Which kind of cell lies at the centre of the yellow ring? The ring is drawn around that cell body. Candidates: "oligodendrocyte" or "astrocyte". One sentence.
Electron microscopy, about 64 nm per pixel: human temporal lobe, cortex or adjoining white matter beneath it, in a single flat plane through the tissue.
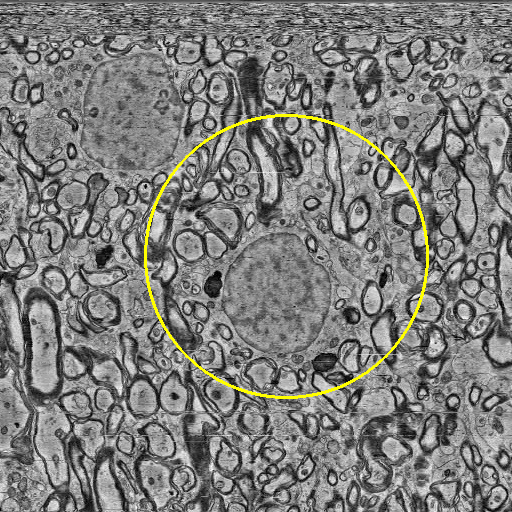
Lying at the centre of the ring is an oligodendrocyte.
